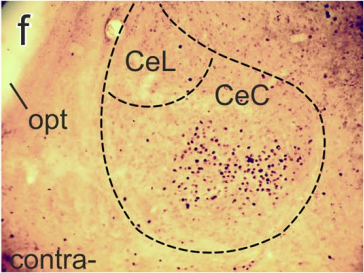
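The dots are round and of fairly even size, each one a single stained nucleus with no cell body or processes stained around it. They are packed densely in a cluster in the middle and lower part of the larger outlined subdivision, while the smaller subdivision above holds only a few. At the upper right, outside the nucleus, the tissue is darker and holds further scattered dots.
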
